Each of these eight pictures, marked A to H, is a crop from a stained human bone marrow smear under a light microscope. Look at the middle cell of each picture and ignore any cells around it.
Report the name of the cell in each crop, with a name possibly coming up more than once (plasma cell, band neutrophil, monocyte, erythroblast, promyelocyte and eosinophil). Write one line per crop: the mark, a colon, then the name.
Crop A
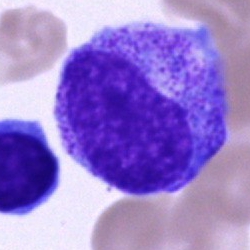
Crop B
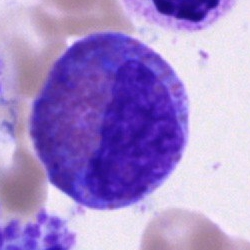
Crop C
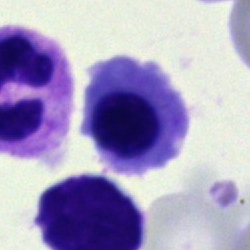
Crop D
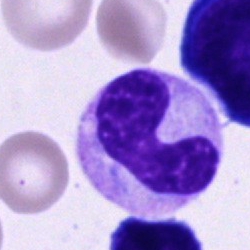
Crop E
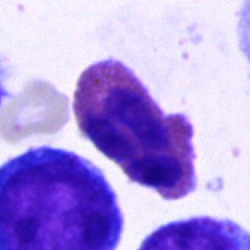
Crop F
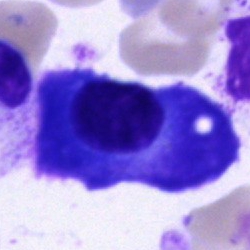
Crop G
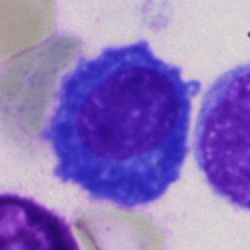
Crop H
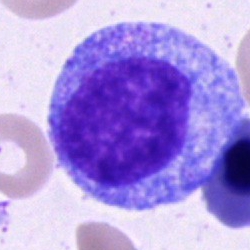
A: promyelocyte
B: eosinophil
C: erythroblast
D: band neutrophil
E: eosinophil
F: plasma cell
G: plasma cell
H: promyelocyte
